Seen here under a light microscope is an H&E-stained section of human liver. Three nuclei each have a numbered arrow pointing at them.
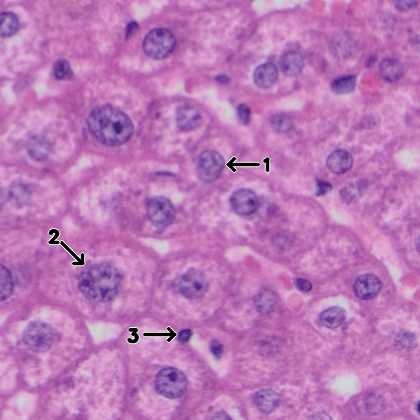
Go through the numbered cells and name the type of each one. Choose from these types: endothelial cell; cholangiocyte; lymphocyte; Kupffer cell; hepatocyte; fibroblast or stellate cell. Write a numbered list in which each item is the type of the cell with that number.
1. hepatocyte
2. hepatocyte
3. fibroblast or stellate cell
